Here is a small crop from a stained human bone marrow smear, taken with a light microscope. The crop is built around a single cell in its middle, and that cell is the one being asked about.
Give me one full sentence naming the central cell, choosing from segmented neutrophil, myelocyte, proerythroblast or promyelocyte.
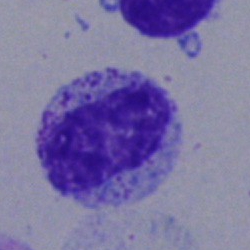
Standing at the centre of this crop is a myelocyte.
